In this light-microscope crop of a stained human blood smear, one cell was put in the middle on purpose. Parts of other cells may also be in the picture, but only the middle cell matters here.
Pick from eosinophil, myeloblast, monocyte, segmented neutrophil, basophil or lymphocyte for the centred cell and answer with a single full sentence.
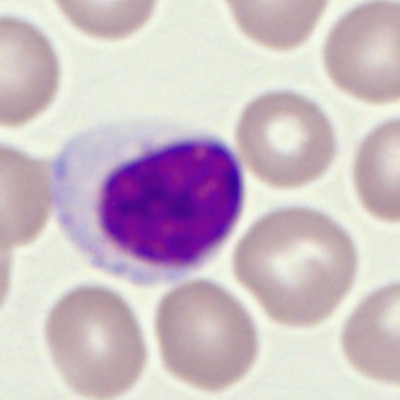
The crop shows a lymphocyte in its centre.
